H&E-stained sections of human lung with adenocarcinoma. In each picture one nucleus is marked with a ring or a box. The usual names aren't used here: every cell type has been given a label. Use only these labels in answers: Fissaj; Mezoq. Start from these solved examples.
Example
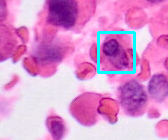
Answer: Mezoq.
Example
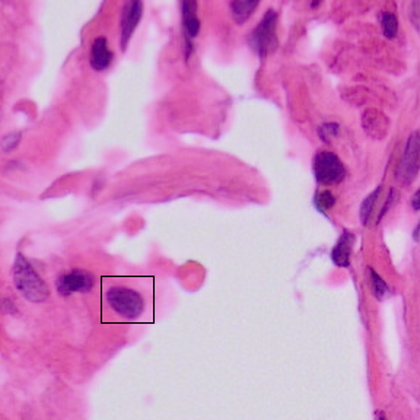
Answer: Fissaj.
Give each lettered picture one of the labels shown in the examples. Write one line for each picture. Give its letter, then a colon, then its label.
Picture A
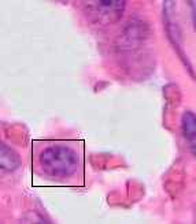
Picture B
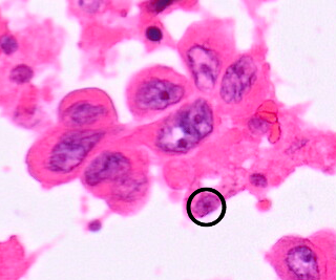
A: Mezoq.
B: Mezoq.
